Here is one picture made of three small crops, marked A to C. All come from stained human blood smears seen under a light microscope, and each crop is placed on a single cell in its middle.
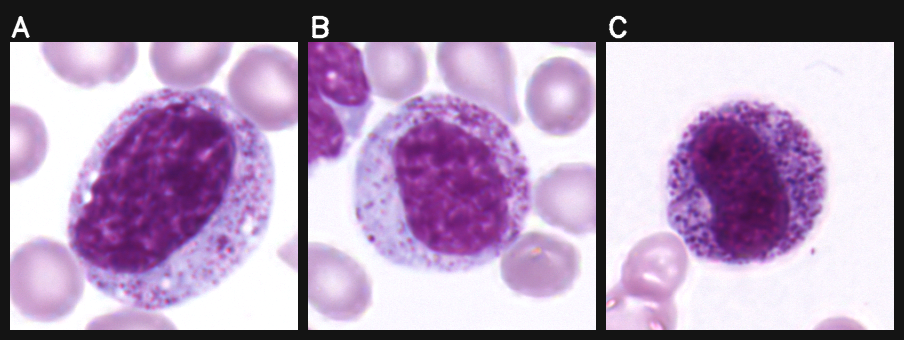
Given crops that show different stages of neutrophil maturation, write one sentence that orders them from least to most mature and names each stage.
Least to most mature, the crops are crop A (a promyelocyte), crop B (a myelocyte) and crop C (a metamyelocyte).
